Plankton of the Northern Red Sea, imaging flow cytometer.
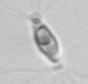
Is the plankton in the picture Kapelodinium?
No, it is Chrysochromulina parkeae.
